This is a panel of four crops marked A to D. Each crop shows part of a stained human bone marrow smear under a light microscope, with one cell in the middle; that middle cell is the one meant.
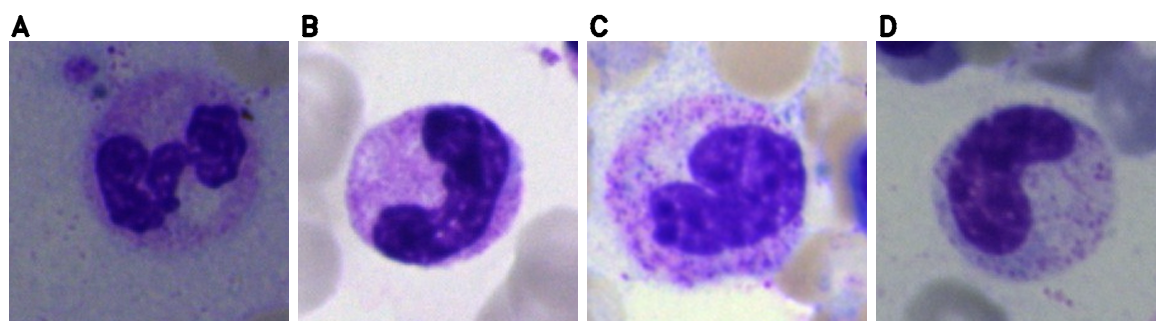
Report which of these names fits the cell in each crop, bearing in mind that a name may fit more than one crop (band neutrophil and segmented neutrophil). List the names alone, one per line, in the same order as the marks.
segmented neutrophil
band neutrophil
band neutrophil
band neutrophil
